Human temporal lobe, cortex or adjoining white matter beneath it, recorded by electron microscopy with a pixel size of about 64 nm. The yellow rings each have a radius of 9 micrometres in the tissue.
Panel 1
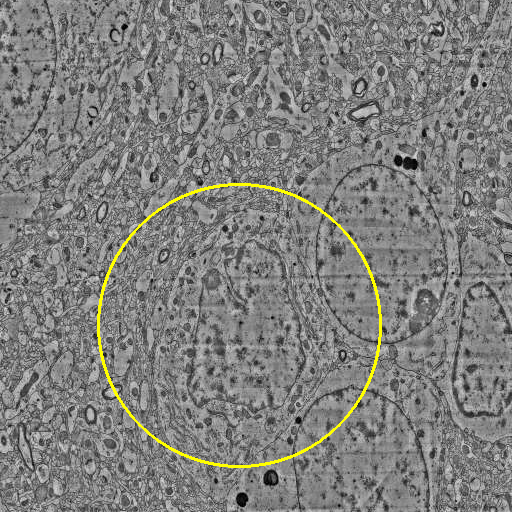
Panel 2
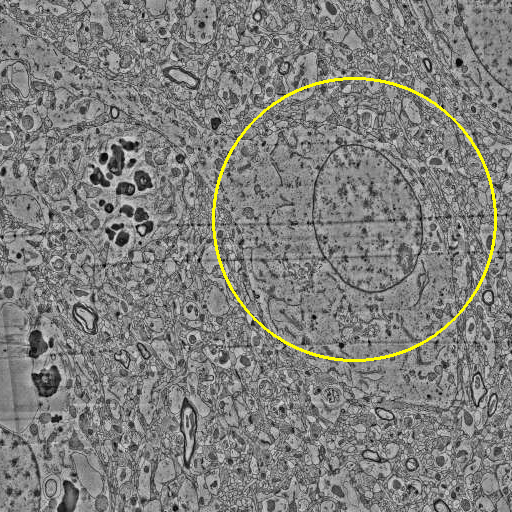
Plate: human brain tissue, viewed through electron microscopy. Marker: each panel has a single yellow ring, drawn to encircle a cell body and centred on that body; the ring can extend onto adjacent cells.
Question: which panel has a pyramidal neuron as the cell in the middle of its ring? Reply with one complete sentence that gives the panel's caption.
Panel 2 is where the requested cell sits at the centre of the ring.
